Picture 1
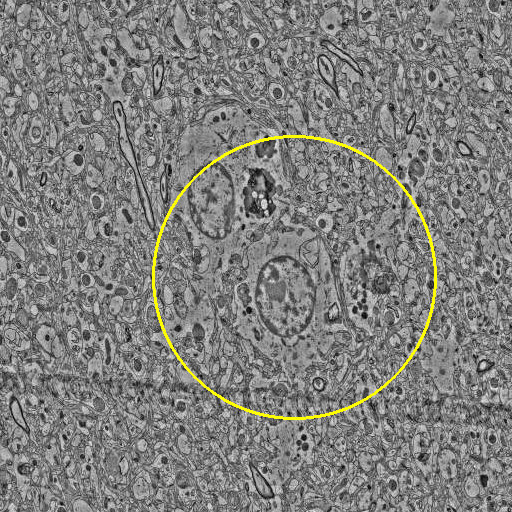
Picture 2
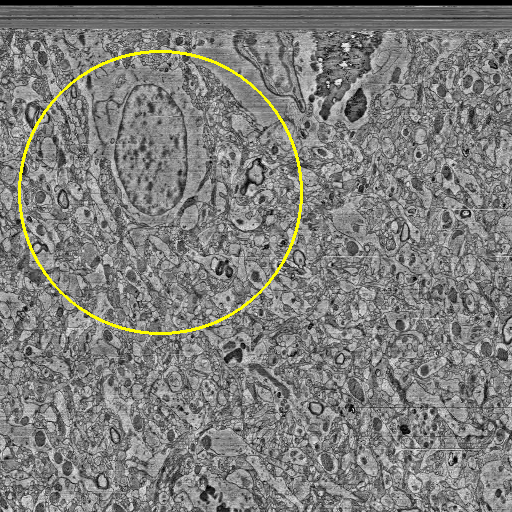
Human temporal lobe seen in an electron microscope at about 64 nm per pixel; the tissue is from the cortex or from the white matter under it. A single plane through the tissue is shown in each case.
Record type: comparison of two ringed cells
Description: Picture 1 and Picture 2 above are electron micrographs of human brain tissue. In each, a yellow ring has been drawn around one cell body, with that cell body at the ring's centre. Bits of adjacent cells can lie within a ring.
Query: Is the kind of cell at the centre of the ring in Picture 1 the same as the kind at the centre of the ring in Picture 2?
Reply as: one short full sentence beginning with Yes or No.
Yes, the two ringed cells are of the same kind.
